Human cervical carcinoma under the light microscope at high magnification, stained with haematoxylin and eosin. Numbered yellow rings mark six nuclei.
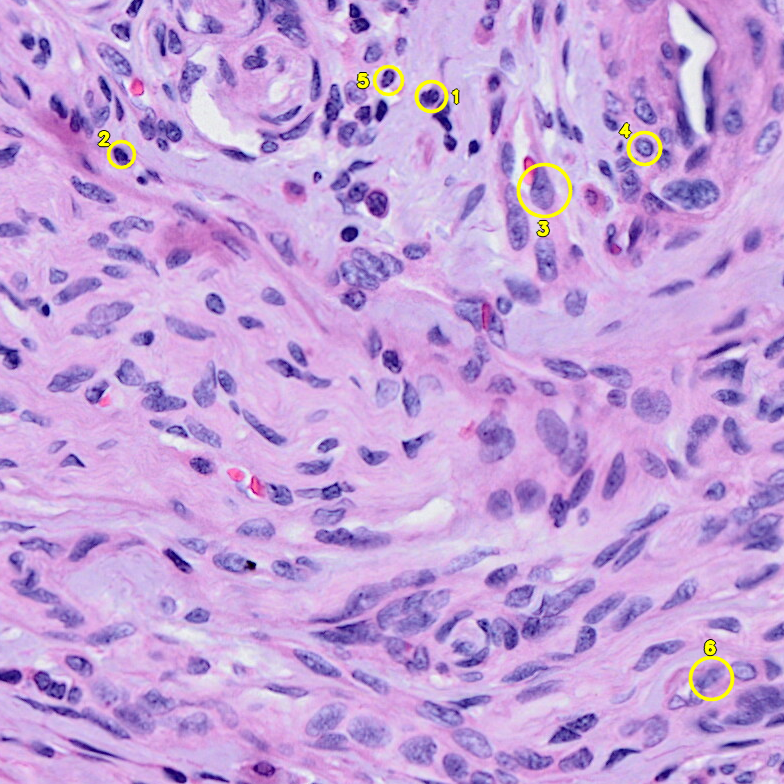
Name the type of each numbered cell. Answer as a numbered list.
1. lymphocyte
2. lymphocyte
3. endothelial cell
4. smooth muscle cell
5. lymphocyte
6. endothelial cell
